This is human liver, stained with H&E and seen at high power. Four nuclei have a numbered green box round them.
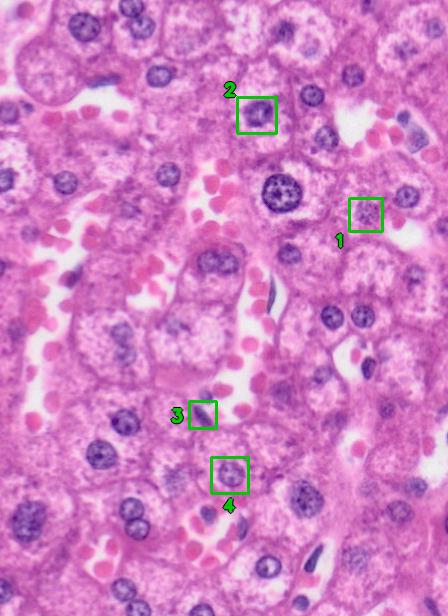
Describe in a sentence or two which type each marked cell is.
Cell 1 is a hepatocyte, cell 2 is a hepatocyte, cell 3 is a fibroblast or stellate cell and cell 4 is a hepatocyte.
